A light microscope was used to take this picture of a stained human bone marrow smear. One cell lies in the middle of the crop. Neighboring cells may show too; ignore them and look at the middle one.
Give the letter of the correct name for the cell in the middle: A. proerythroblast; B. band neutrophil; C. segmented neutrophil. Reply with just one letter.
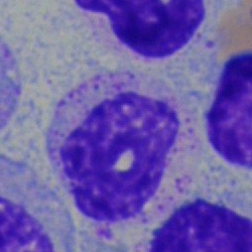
B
